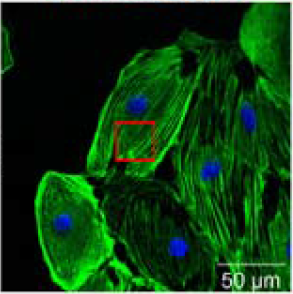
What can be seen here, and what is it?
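These are cultured cardiomyocytes, large flattened cells whose cytoplasm is filled with green-stained myofibrils. A small red box marks a region of aligned fibrils.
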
